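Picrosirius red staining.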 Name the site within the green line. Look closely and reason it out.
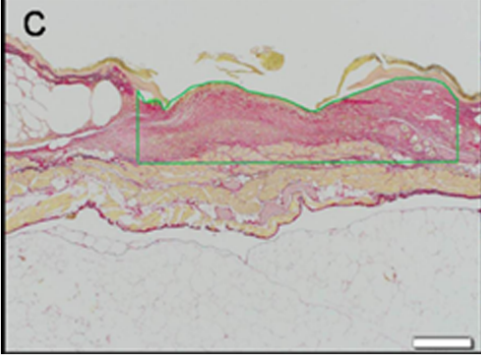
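The green line encloses a red-stained zone under the surface at the centre of the section. Outside it the tissue is more yellow and loosely arranged.
Conclusion: wound bed area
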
